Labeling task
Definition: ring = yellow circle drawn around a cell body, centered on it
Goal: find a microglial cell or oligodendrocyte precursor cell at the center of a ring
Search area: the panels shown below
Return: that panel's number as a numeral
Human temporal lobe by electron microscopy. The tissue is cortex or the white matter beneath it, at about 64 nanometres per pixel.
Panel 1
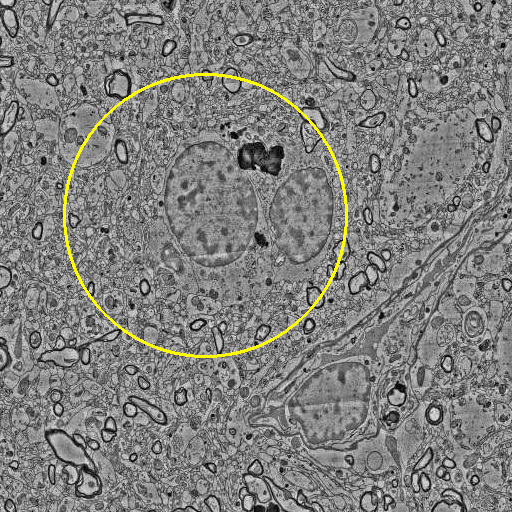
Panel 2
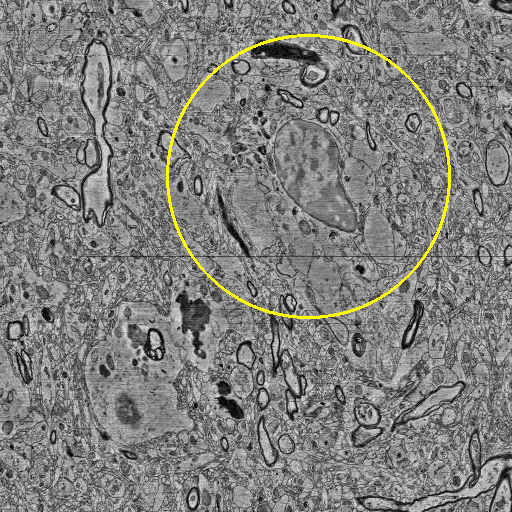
2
